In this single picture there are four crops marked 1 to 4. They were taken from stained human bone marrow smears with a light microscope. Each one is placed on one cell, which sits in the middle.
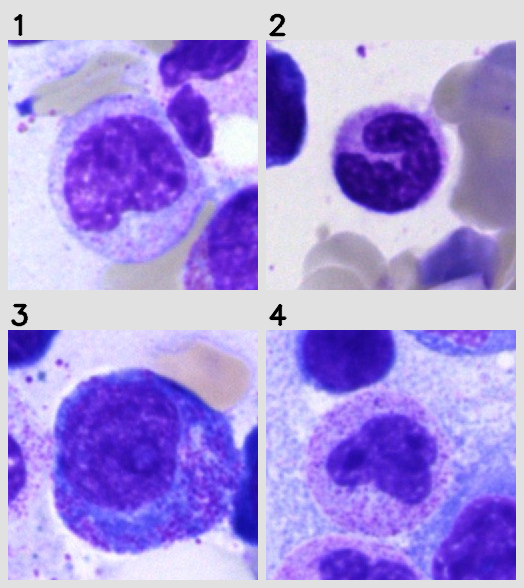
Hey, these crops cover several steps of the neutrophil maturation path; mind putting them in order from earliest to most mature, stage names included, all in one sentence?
Proceeding from least to most mature, the order is crop 3 (a promyelocyte), crop 1 (a metamyelocyte), crop 2 (a band neutrophil) and crop 4 (a segmented neutrophil).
